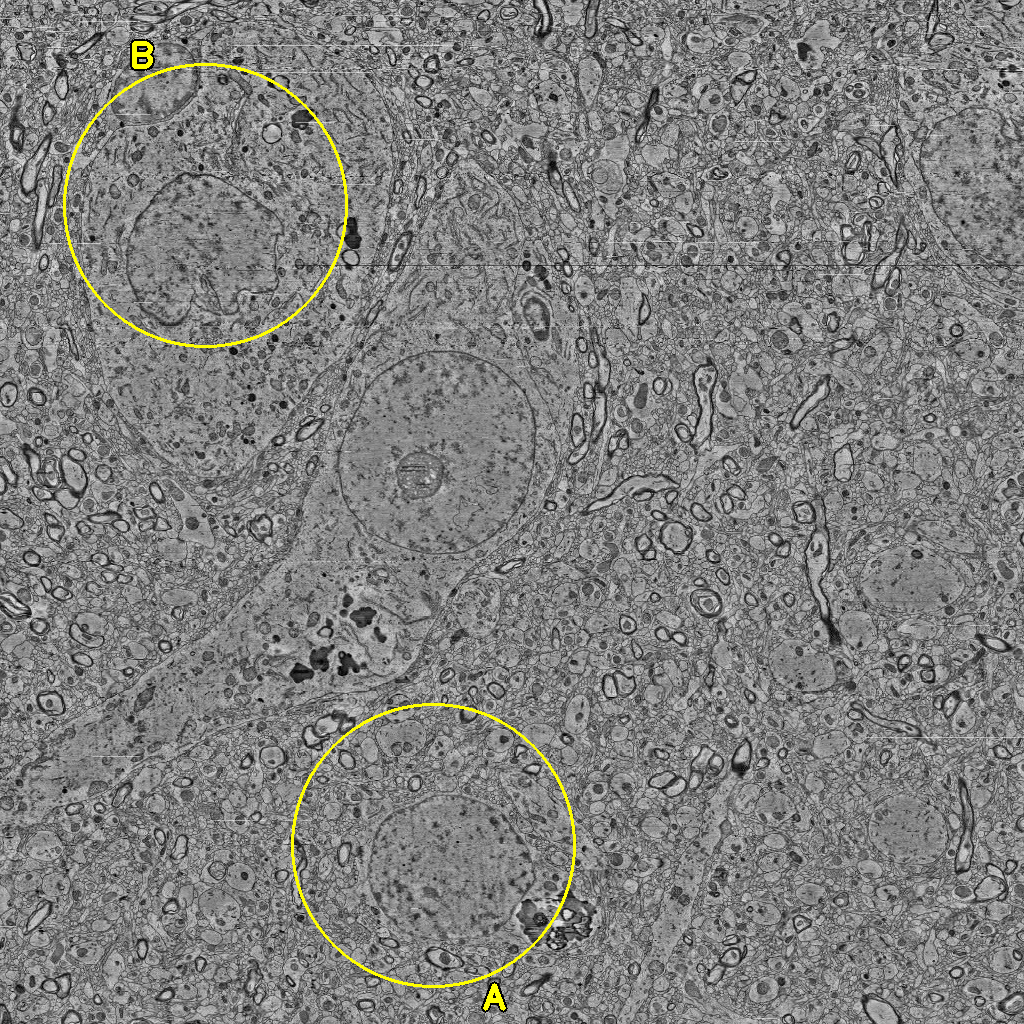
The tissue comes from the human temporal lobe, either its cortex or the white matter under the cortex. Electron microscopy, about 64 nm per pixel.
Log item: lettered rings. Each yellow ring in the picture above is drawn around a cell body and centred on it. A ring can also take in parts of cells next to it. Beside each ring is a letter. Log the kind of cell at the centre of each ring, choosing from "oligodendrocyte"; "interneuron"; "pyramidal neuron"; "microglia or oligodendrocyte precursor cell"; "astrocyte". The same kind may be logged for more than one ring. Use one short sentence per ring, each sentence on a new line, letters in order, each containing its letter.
Within ring A, the centre is taken by an astrocyte.
Within ring B, the centre is taken by a pyramidal neuron.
